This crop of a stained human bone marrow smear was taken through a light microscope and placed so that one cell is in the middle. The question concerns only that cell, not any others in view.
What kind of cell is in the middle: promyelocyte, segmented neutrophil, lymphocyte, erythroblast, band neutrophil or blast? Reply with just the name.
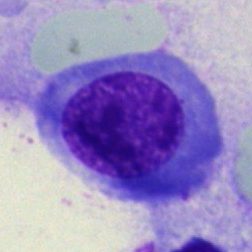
erythroblast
